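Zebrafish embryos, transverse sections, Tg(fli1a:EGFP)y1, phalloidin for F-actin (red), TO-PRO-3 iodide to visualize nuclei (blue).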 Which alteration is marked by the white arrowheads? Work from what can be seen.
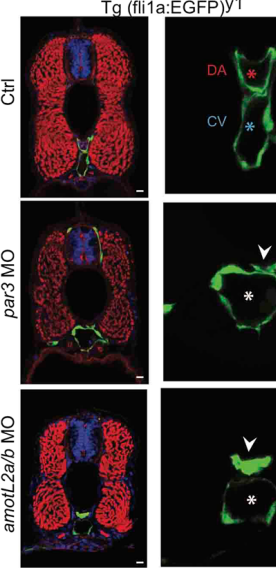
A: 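In the lower two rows the upper, dorsal vessel marked by the arrowhead has little or no open space. In the top row both vessels show an open lumen. So: constrictions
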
